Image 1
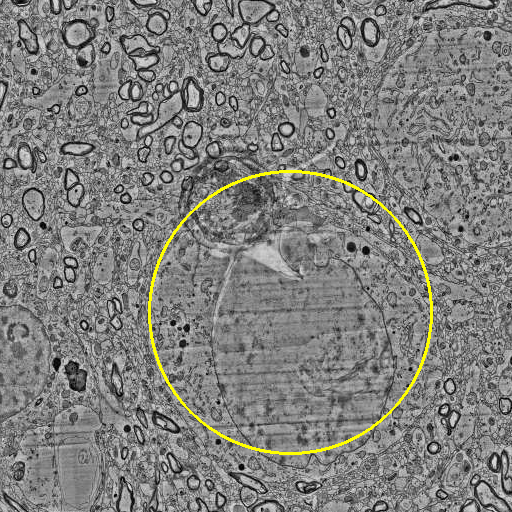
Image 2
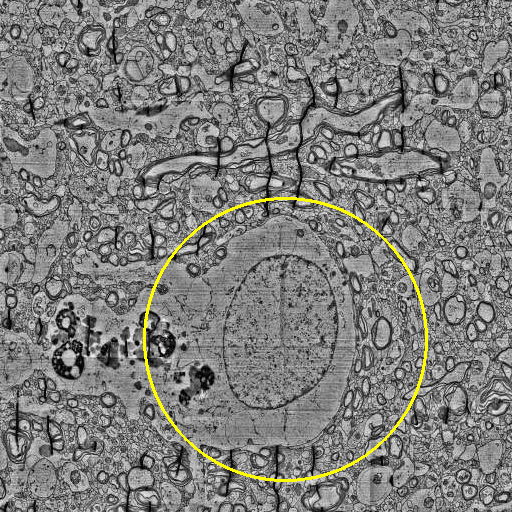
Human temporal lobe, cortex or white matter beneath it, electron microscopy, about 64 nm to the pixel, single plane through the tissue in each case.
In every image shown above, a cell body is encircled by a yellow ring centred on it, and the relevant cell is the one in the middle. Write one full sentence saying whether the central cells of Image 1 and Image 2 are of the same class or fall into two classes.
The cell at the ring's centre in Image 1 and its counterpart in Image 2 fall into two classes.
